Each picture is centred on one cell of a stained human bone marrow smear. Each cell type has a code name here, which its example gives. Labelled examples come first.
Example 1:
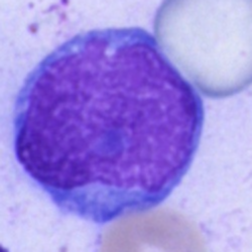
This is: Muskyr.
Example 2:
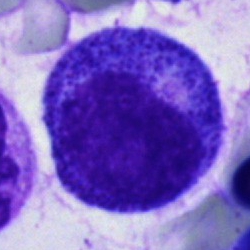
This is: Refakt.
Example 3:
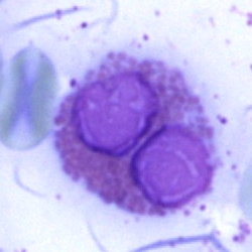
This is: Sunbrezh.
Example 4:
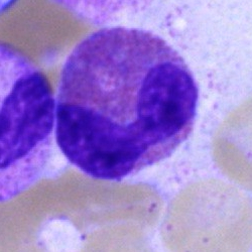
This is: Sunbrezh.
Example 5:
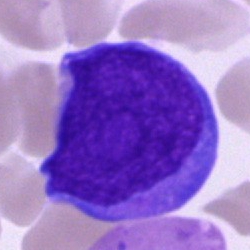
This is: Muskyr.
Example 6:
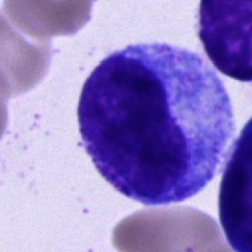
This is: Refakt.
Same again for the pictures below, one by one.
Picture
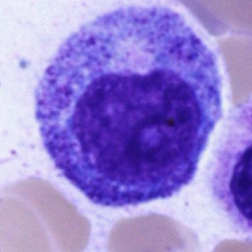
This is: Refakt.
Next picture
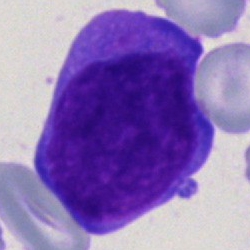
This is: Muskyr.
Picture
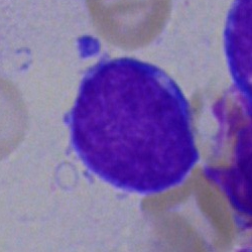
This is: Muskyr.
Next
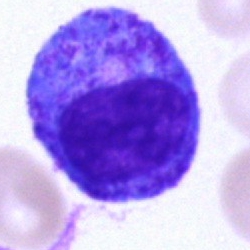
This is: Refakt.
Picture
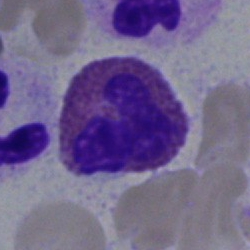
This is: Sunbrezh.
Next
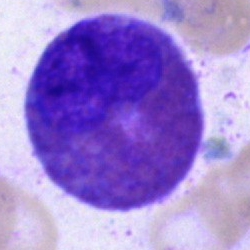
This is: Sunbrezh.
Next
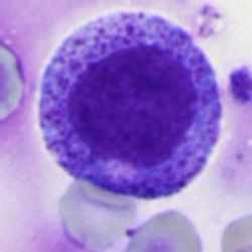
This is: Refakt.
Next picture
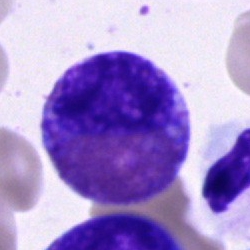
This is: Sunbrezh.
